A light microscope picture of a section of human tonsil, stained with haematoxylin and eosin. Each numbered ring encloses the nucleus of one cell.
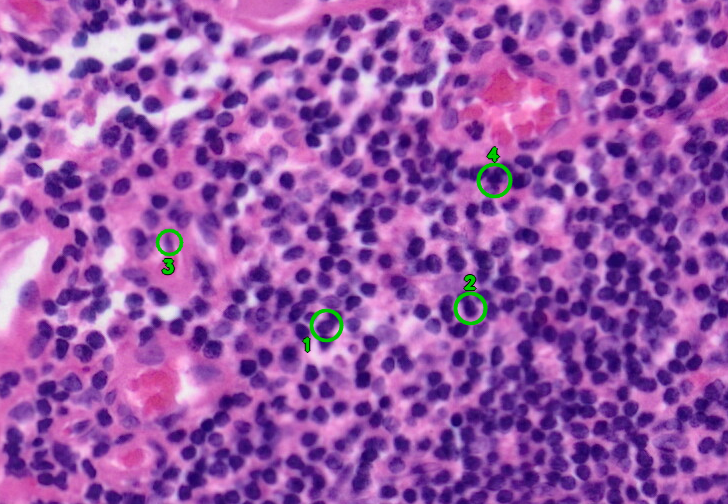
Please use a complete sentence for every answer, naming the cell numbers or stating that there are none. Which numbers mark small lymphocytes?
Identified as small lymphocytes are the cells numbered 1, 2 and 4.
